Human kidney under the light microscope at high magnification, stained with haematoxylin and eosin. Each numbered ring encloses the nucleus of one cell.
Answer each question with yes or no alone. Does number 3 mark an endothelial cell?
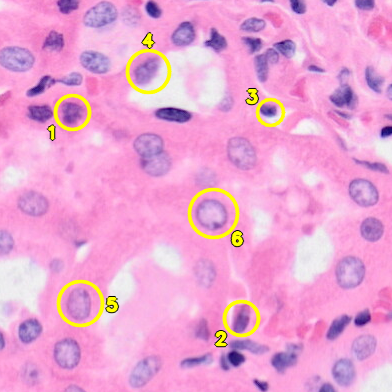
yes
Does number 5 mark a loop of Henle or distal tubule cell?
no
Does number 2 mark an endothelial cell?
yes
